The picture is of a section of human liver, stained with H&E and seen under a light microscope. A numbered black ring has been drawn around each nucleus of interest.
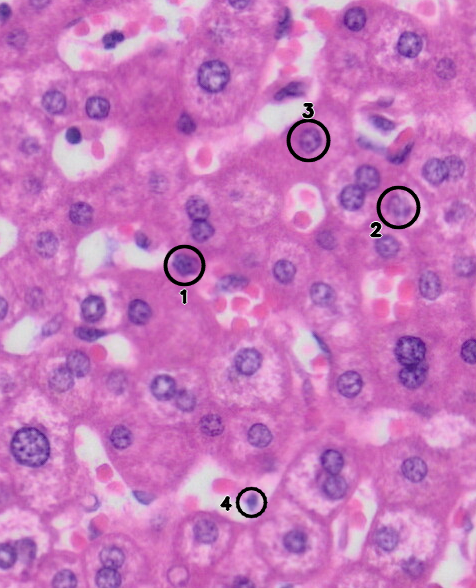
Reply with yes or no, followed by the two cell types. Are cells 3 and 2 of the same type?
Yes, and to be precise, cells 3 and 2 are both hepatocytes.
